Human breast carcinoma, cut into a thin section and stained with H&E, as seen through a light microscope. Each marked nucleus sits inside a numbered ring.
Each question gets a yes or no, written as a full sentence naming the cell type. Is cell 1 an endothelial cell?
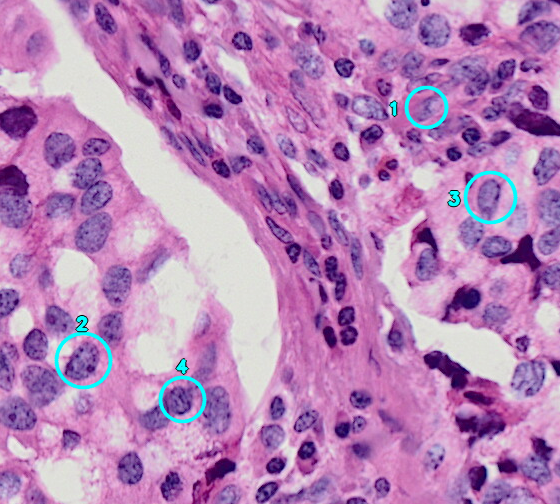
Yes, the cell marked with number 1 is an endothelial cell.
